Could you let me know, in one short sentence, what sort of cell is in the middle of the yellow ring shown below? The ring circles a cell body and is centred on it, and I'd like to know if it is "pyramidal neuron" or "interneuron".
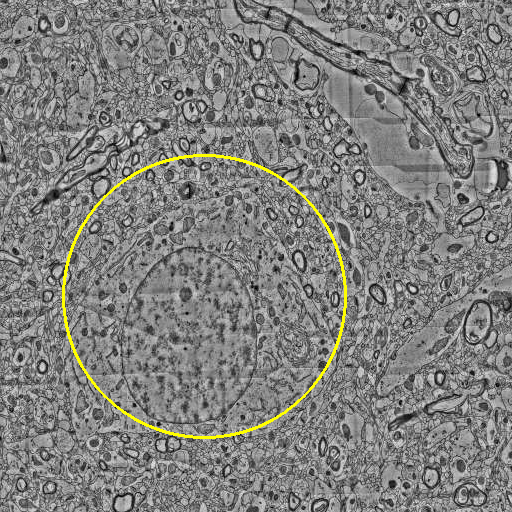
The ring circles the cell body of an interneuron.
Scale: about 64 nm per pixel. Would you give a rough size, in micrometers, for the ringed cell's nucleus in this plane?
Roughly 11 by 9 micrometres in this plane, for the nucleus of the ringed cell.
